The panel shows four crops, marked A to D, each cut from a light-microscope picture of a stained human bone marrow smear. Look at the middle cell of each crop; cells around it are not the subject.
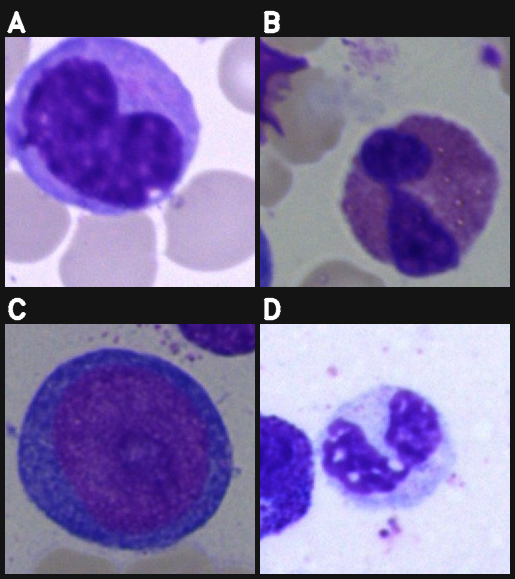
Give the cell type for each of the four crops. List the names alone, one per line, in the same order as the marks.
monocyte
eosinophil
proerythroblast
segmented neutrophil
